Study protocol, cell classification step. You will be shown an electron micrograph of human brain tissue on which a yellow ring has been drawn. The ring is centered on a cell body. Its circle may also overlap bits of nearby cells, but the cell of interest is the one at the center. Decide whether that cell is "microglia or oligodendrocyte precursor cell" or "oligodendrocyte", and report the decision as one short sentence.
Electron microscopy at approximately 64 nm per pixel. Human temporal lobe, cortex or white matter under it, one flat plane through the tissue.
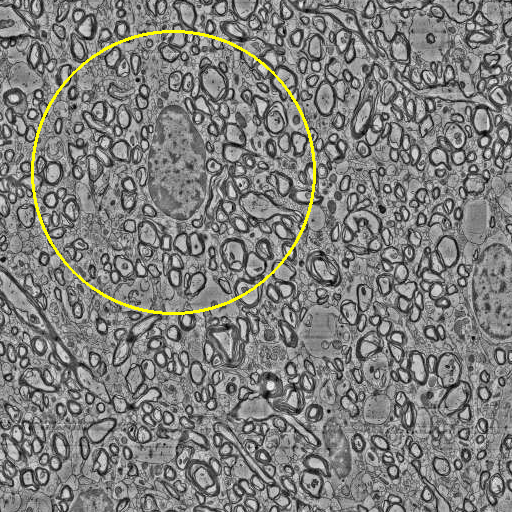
The marked cell is a microglial cell or oligodendrocyte precursor cell.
